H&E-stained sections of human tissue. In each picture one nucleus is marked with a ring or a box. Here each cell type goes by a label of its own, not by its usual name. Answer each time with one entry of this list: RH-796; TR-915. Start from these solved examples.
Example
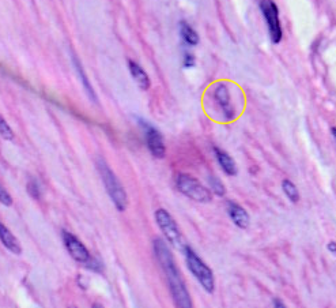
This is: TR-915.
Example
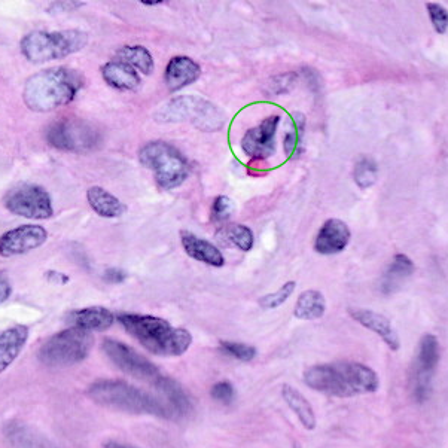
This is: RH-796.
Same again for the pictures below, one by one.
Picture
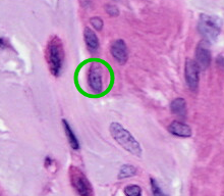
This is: TR-915.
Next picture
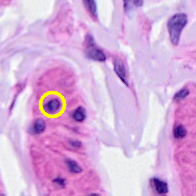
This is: TR-915.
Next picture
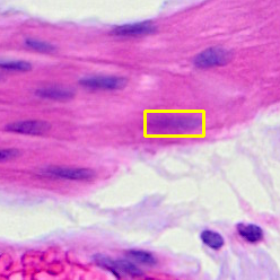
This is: TR-915.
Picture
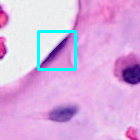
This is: RH-796.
